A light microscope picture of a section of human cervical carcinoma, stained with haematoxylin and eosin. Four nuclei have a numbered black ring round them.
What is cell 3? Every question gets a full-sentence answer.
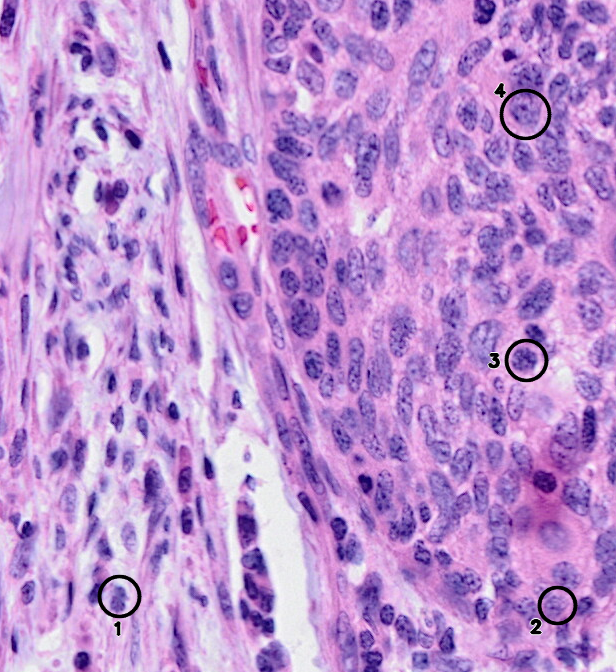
Number 3 among the marked cells is a squamous carcinoma cell.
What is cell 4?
In this section, the cell numbered 4 is a squamous carcinoma cell.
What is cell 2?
Cell 2 of the marked set is a squamous carcinoma cell.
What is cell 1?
Within this field of view, the cell labelled 1 is a lymphocyte.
